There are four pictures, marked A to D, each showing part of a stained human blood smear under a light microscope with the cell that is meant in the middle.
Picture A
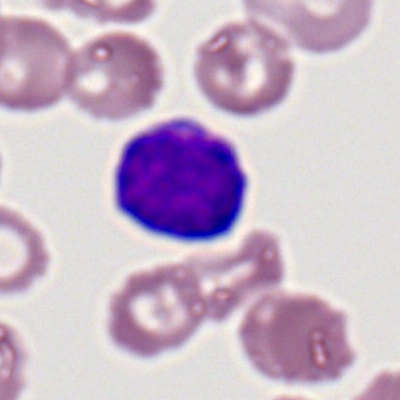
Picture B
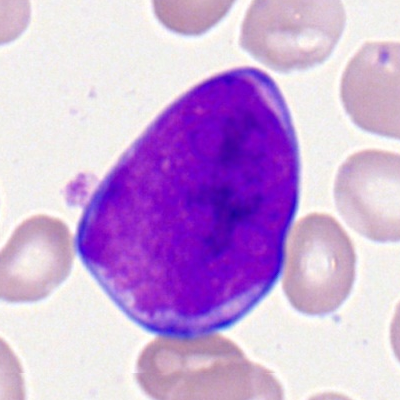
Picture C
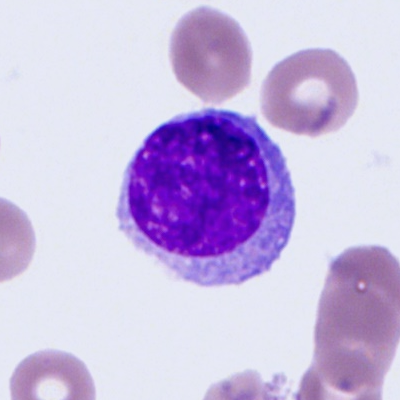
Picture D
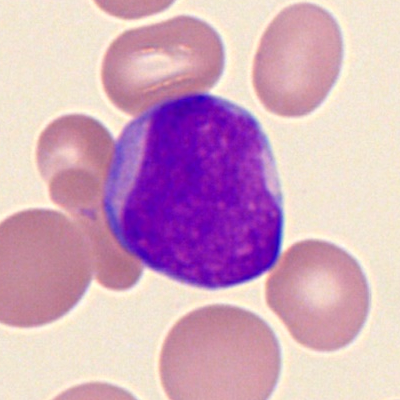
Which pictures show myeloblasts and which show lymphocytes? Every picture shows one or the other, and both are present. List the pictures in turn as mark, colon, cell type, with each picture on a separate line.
A: lymphocyte
B: myeloblast
C: lymphocyte
D: myeloblast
